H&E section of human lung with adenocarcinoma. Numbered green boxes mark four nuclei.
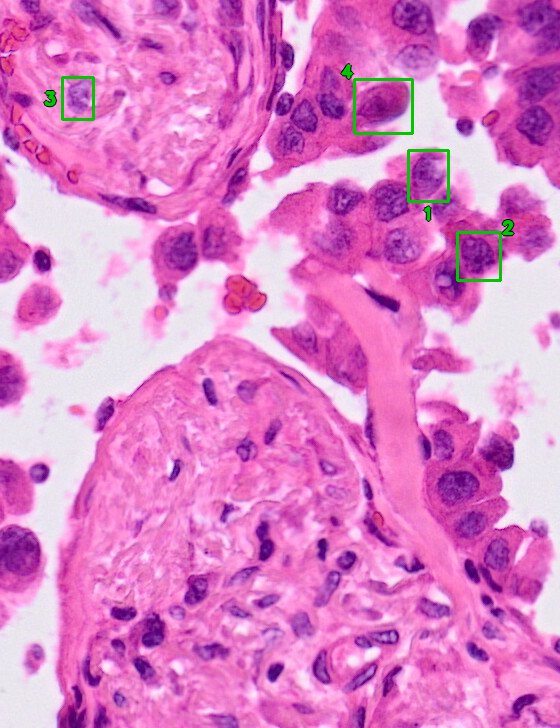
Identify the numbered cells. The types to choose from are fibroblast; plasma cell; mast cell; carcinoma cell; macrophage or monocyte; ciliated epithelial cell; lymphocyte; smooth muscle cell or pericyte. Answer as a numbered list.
1. carcinoma cell
2. carcinoma cell
3. fibroblast
4. carcinoma cell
